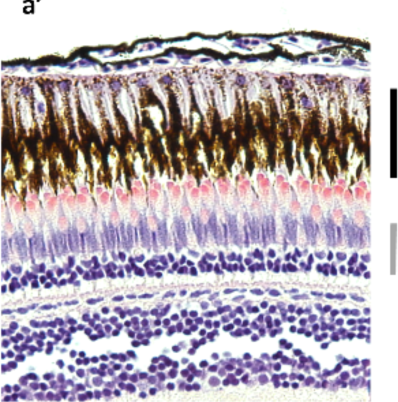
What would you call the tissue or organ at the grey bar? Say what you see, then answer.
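The grey bar spans a band of packed purple nuclei below the pink inner segments. On this evidence: outer nuclear layer.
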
